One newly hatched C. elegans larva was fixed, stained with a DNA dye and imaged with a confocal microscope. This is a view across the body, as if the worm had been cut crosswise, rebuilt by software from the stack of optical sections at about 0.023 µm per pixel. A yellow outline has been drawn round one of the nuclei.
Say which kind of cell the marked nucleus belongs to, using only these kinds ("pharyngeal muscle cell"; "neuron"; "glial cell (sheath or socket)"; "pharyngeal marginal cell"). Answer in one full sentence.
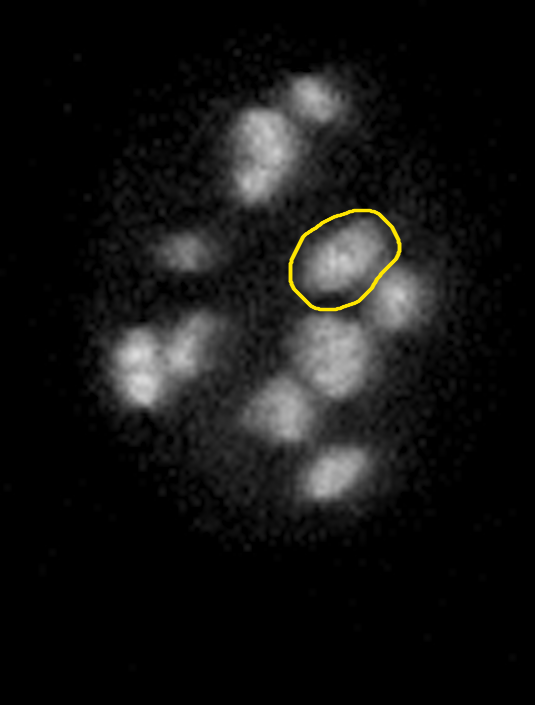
The cell with the marked nucleus is a pharyngeal marginal cell.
